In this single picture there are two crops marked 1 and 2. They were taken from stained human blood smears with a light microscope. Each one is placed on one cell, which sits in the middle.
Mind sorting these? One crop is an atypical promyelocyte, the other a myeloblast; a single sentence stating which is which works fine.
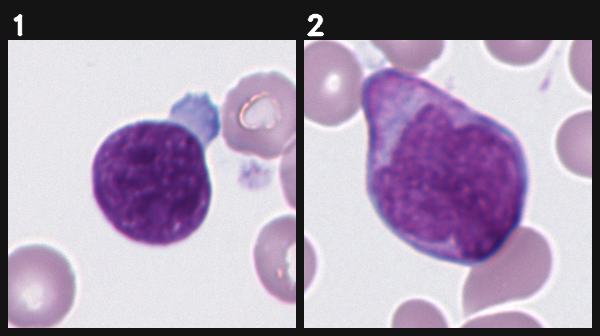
Recognised in crop 1 is a myeloblast, and recognised in crop 2 is an atypical promyelocyte.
